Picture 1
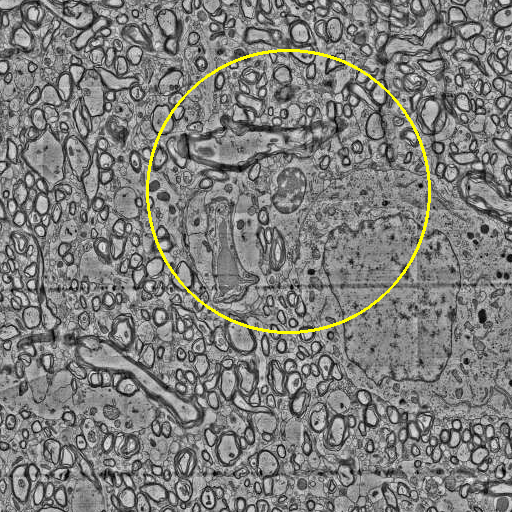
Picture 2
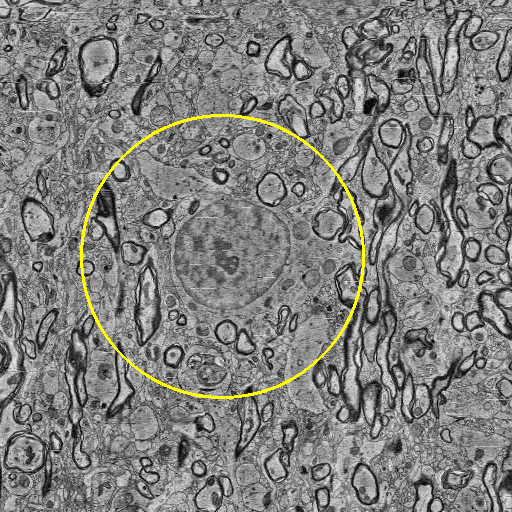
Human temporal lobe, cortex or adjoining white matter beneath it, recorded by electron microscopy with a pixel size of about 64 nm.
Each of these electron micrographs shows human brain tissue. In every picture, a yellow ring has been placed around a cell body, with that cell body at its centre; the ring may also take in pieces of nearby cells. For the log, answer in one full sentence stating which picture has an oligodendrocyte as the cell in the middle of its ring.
In picture 2, the cell at the centre of the yellow ring is the requested one.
